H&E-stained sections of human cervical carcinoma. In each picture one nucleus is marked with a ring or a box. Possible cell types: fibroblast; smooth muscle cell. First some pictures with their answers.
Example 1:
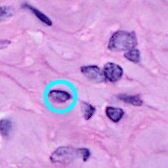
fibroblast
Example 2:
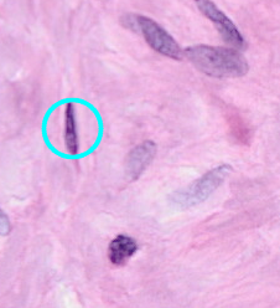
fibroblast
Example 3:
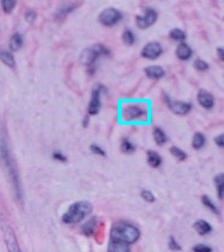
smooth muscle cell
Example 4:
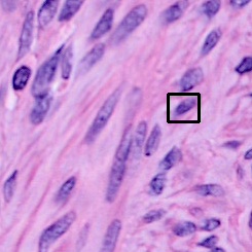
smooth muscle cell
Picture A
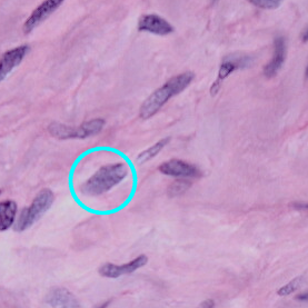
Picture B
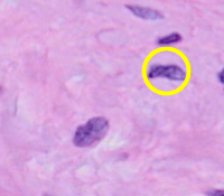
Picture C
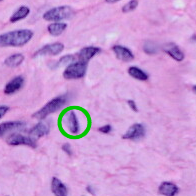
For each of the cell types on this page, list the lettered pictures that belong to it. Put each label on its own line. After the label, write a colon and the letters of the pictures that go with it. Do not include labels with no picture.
fibroblast: A, B, C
